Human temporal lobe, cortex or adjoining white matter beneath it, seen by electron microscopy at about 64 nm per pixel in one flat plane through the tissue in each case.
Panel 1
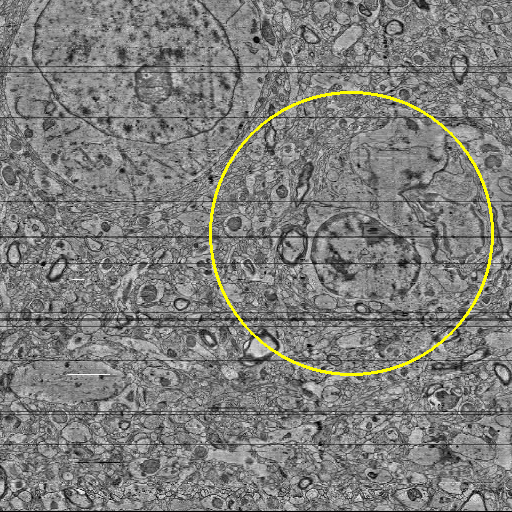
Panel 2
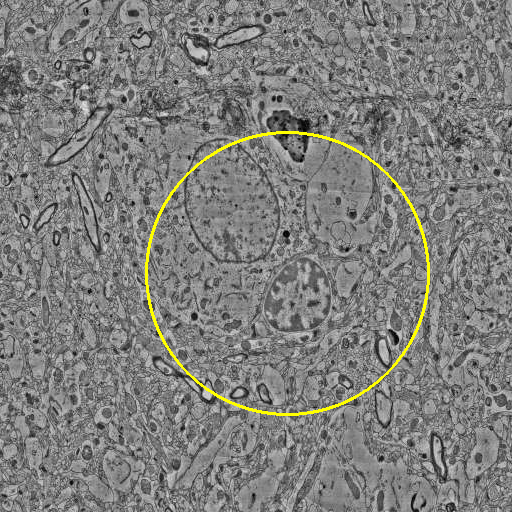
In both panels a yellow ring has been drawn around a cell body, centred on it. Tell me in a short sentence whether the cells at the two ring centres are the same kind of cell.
Yes, they are the same kind of cell.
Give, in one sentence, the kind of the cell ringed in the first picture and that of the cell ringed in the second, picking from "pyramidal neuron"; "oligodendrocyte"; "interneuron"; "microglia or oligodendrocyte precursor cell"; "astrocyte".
Both rings mark a microglial cell or oligodendrocyte precursor cell, one in each picture.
